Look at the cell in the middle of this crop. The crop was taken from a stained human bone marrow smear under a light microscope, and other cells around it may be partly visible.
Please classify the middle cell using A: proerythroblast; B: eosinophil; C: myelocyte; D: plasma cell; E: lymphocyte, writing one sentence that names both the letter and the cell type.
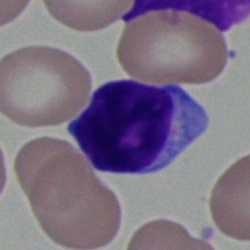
The middle of the crop holds a lymphocyte, which points to option E.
